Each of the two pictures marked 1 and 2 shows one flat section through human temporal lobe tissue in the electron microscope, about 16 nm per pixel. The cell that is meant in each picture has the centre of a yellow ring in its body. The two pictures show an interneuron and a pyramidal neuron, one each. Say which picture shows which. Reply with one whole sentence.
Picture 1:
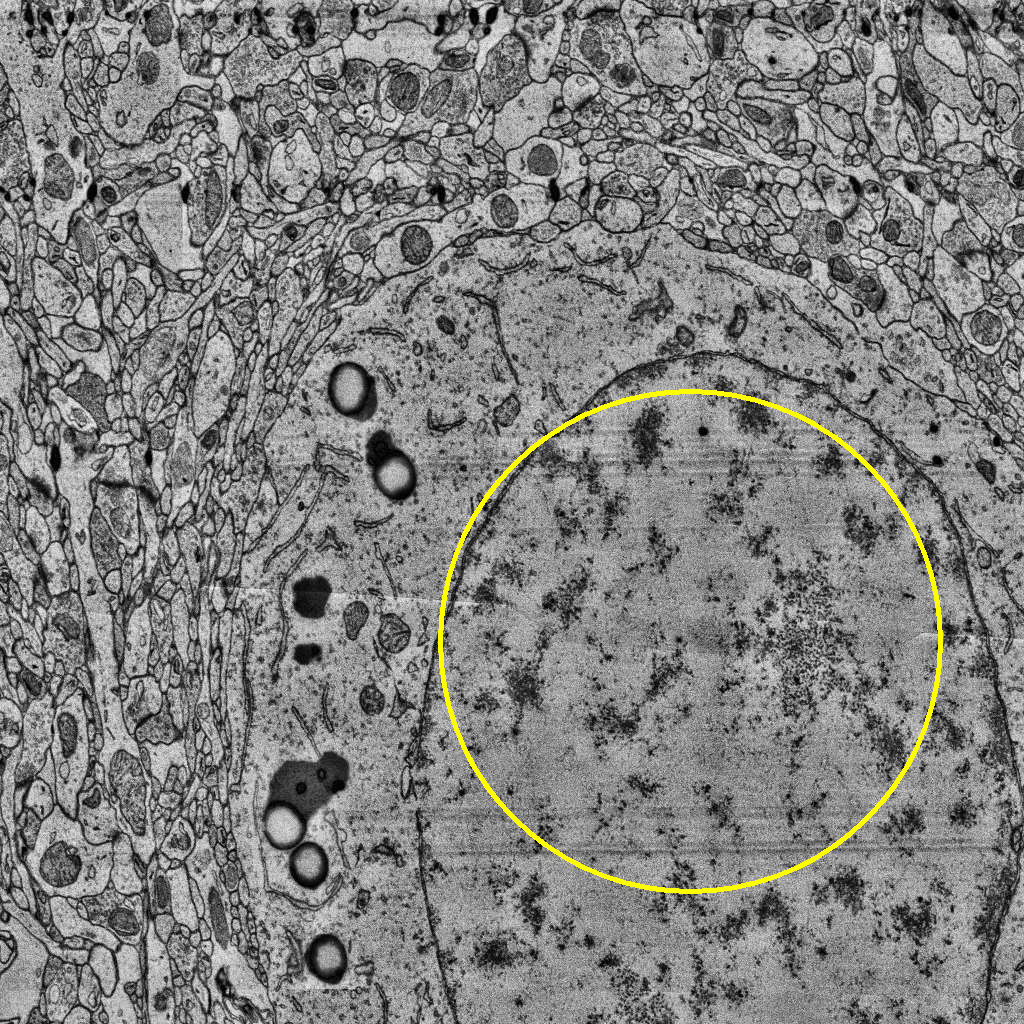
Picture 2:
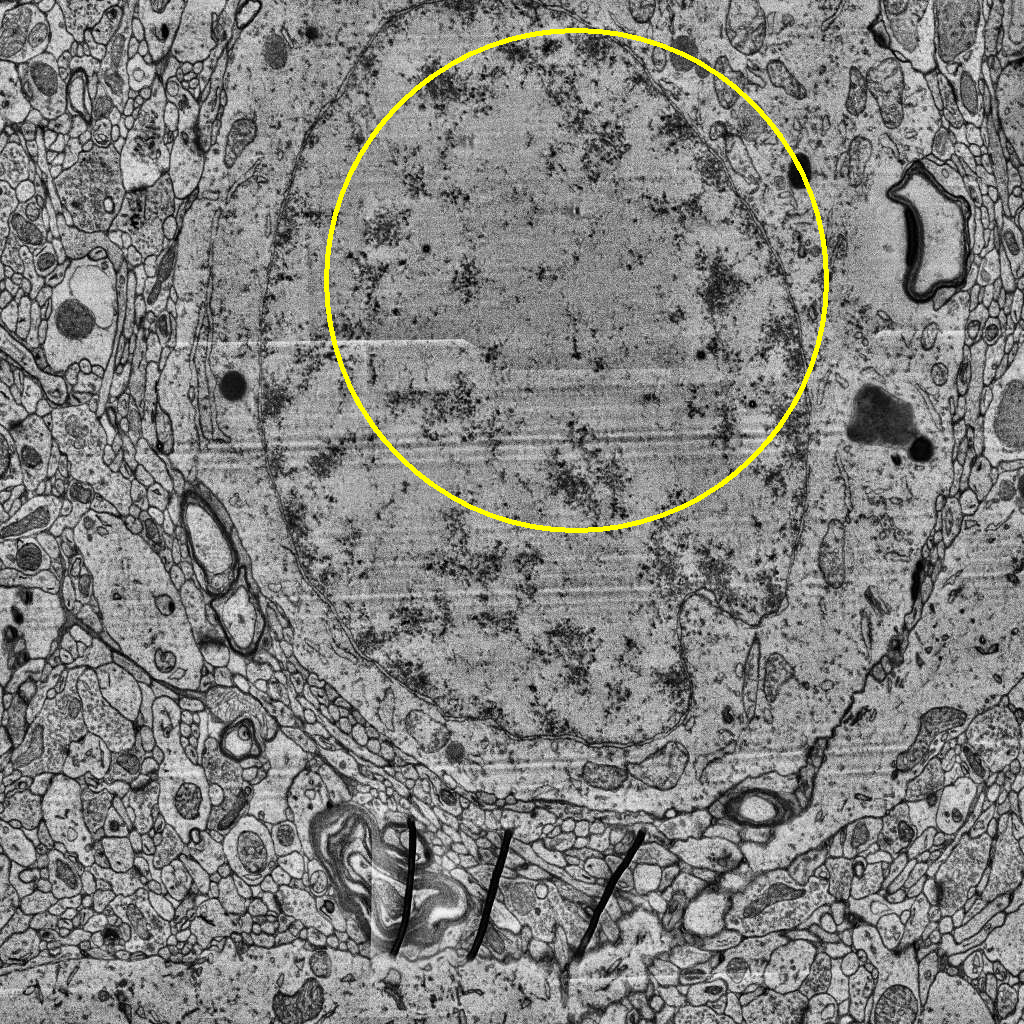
Picture 2 shows an interneuron, while picture 1 shows a pyramidal neuron.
